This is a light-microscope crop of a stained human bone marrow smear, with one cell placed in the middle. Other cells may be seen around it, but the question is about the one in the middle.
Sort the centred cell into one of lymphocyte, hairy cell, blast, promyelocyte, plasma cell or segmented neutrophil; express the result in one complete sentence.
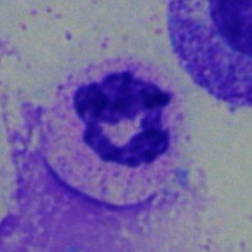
In this crop, the cell at the very middle is a segmented neutrophil.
